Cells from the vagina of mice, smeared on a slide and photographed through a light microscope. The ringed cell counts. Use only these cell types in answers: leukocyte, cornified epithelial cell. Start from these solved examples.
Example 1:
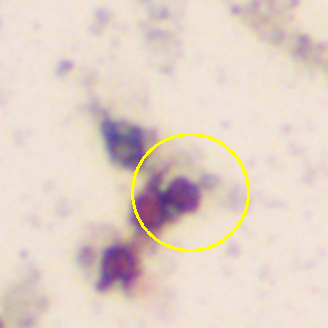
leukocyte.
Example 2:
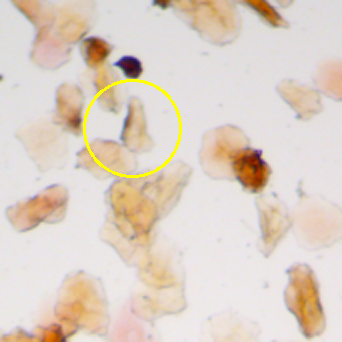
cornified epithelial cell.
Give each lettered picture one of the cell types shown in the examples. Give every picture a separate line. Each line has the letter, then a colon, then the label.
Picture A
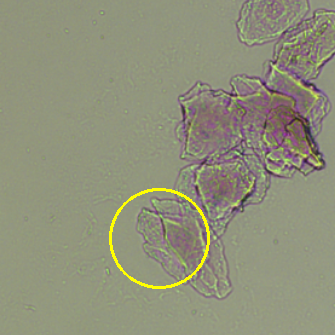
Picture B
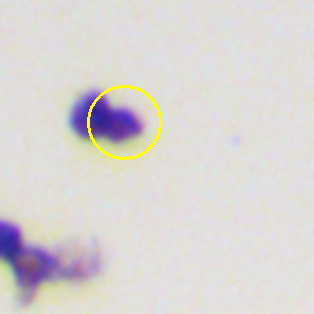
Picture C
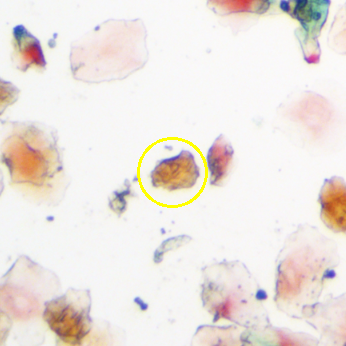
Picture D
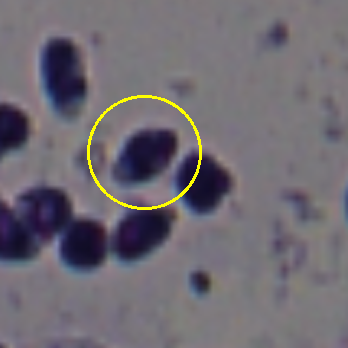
A: cornified epithelial cell.
B: leukocyte.
C: cornified epithelial cell.
D: leukocyte.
